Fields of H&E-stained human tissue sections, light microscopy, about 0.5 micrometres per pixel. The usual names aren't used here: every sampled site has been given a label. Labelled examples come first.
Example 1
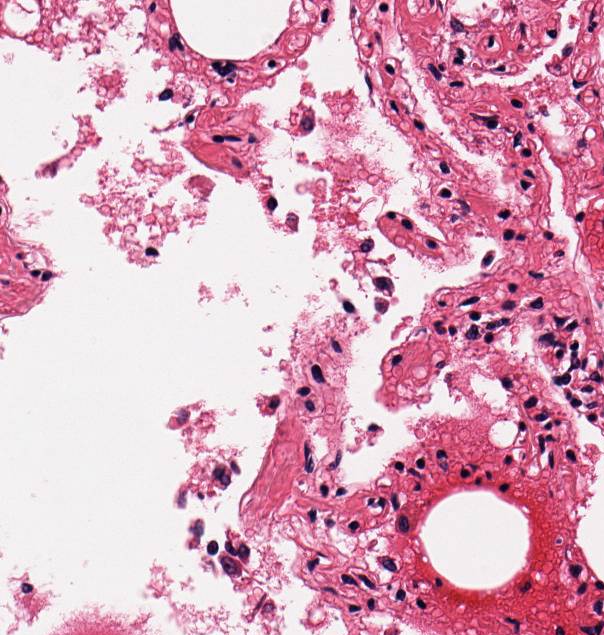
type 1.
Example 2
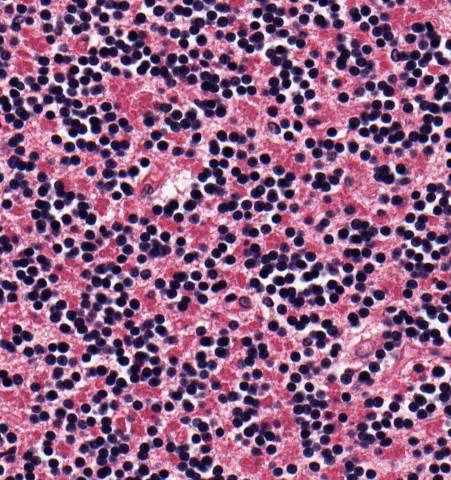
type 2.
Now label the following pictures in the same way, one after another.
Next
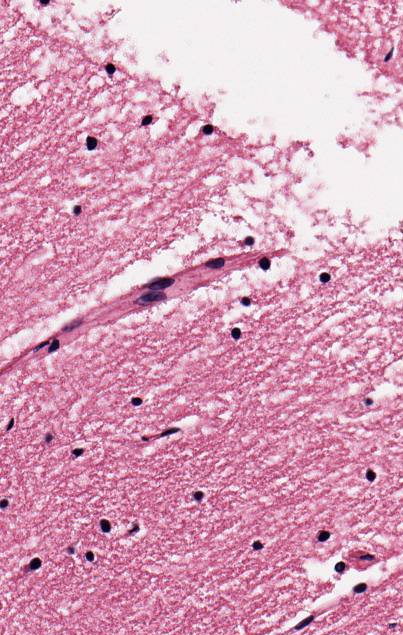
type 2.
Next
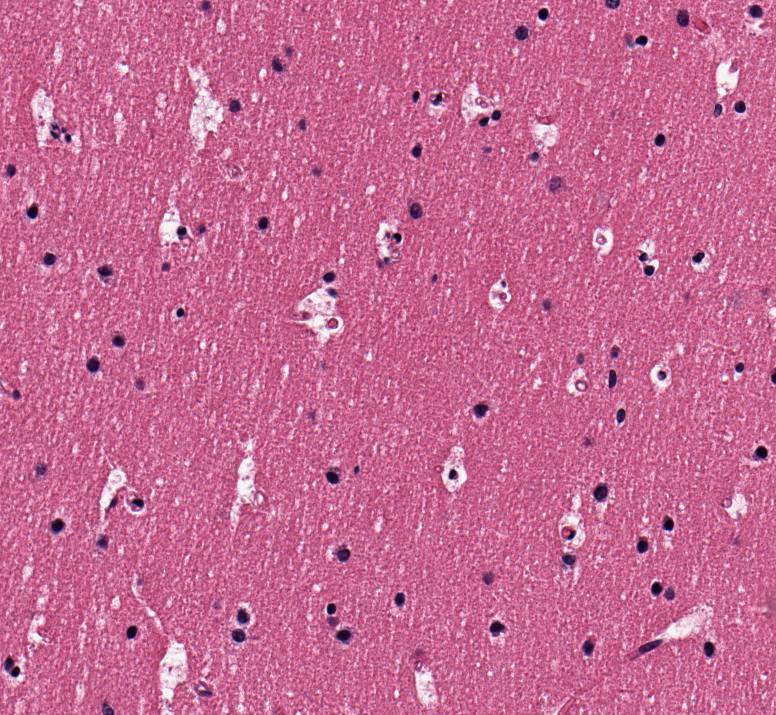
type 2.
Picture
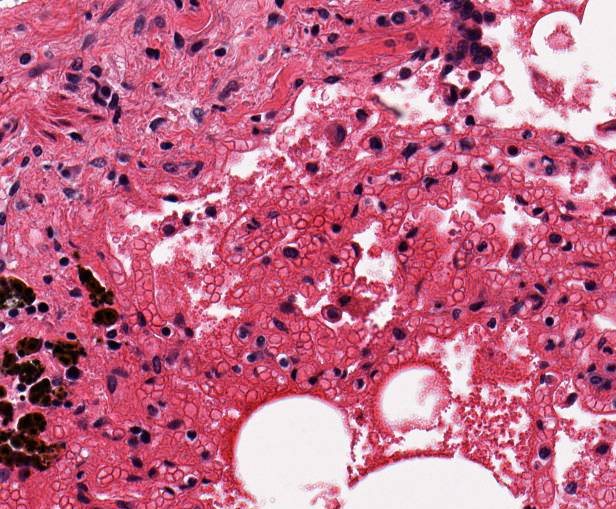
type 1.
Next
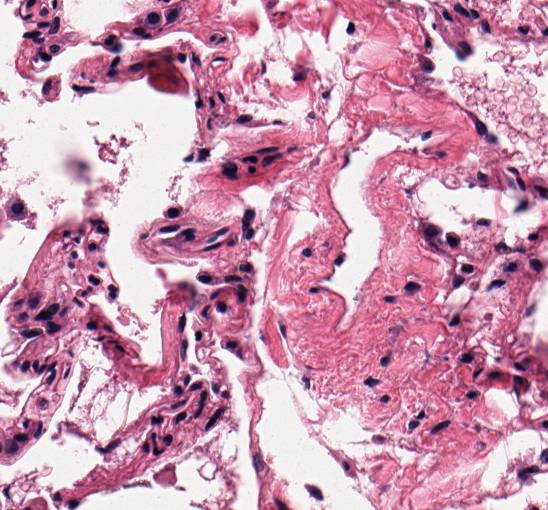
type 1.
